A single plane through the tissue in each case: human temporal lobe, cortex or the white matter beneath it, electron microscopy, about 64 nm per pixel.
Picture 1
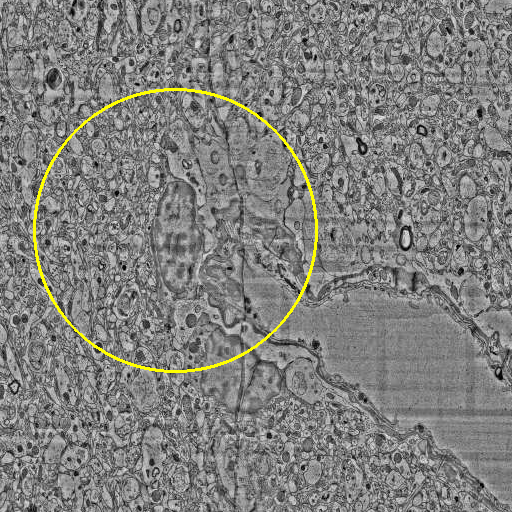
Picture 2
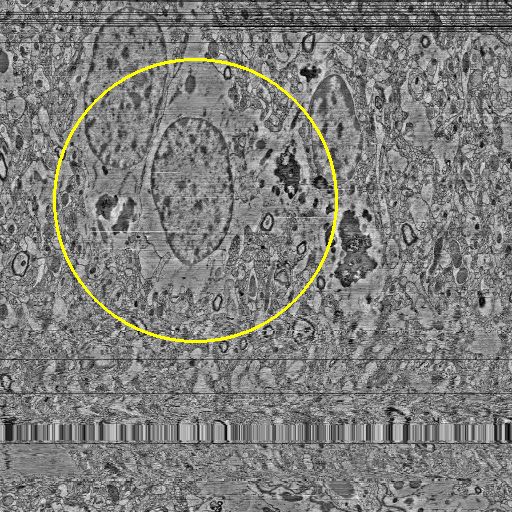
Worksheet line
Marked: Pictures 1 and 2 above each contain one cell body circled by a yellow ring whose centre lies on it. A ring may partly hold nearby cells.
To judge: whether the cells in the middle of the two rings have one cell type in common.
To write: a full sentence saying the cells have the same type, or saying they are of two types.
The cells in the middle of the rings in Picture 1 and Picture 2 are of two types.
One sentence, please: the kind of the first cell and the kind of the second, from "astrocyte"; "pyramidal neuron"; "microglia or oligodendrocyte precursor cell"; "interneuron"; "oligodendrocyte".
The ring in the first picture surrounds an oligodendrocyte, and the ring in the second surrounds an astrocyte.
